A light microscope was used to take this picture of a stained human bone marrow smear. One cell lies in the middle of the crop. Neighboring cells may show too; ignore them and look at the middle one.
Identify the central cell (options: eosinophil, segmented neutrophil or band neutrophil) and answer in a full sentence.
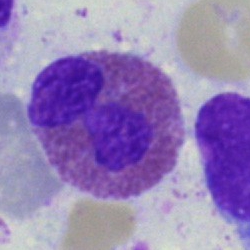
Among the cells in view, the one in the middle is an eosinophil.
